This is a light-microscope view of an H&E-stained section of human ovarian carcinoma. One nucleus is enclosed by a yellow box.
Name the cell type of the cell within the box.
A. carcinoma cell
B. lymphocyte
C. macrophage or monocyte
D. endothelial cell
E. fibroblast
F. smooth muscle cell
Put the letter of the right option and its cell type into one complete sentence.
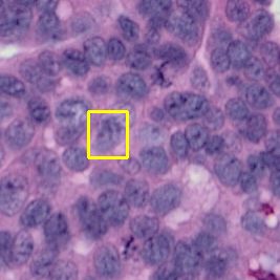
Settle on option A; the cell within the box is a carcinoma cell.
